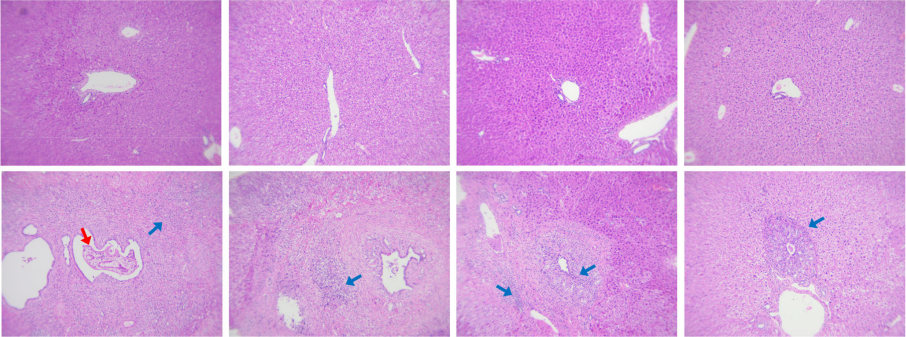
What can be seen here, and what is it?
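Liver sections in pink and purple: the upper row shows evenly packed hepatocyte parenchyma around clear vessels, while the lower row shows dilated duct-like spaces surrounded by dense clusters of small, dark purple nuclei. These clusters, pointed out by blue arrows, are inflammatory cell infiltration around the portal areas.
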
